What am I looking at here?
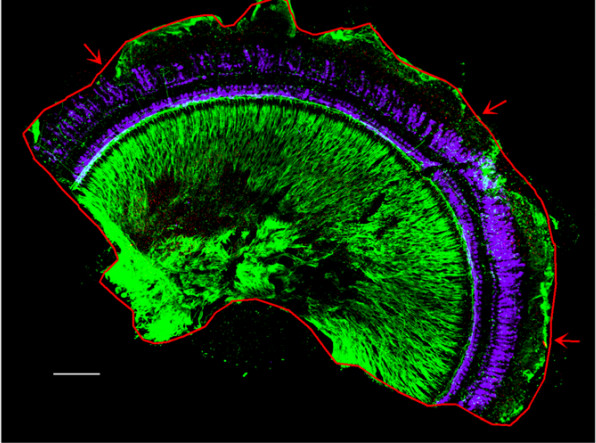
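A thin bright line borders the inner side of the purple band. Irregular green patches lie along the trimmed outer edges, and the field outside the tissue is black.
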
